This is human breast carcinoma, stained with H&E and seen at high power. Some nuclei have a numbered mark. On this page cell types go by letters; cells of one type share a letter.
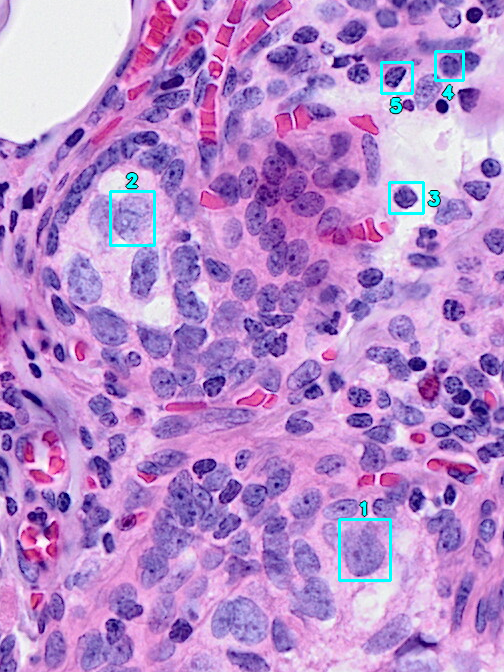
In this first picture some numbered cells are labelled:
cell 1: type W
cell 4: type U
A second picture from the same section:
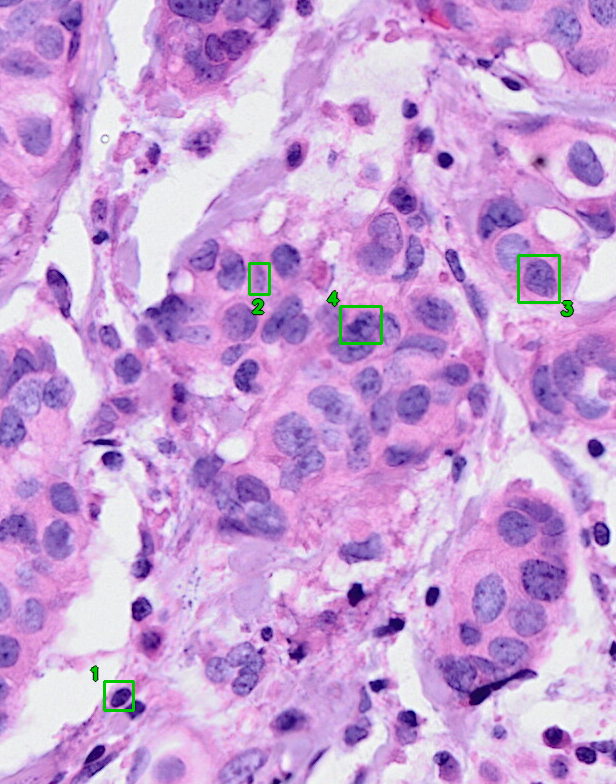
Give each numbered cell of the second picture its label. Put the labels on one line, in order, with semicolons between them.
type U; type W; type W; type W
